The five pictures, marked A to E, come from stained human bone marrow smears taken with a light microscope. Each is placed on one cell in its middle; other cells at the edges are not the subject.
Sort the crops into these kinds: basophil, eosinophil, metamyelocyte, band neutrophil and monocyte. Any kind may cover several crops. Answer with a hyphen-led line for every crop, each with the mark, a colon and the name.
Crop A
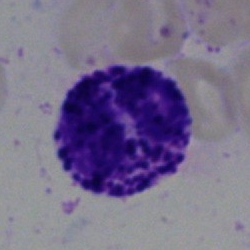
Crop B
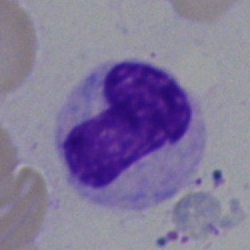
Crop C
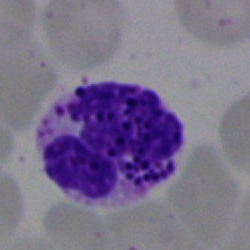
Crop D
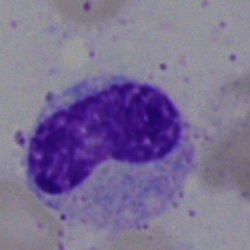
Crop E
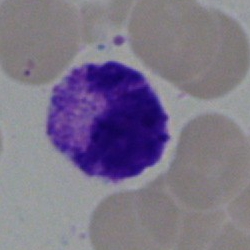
- A: basophil
- B: metamyelocyte
- C: basophil
- D: band neutrophil
- E: basophil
